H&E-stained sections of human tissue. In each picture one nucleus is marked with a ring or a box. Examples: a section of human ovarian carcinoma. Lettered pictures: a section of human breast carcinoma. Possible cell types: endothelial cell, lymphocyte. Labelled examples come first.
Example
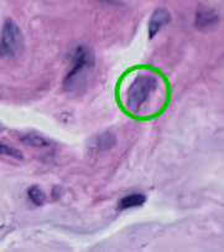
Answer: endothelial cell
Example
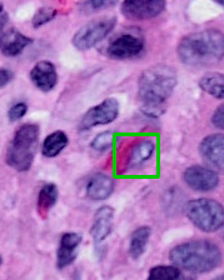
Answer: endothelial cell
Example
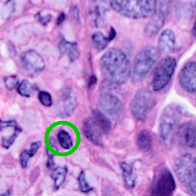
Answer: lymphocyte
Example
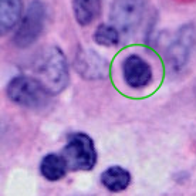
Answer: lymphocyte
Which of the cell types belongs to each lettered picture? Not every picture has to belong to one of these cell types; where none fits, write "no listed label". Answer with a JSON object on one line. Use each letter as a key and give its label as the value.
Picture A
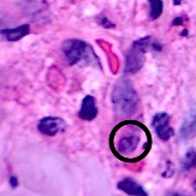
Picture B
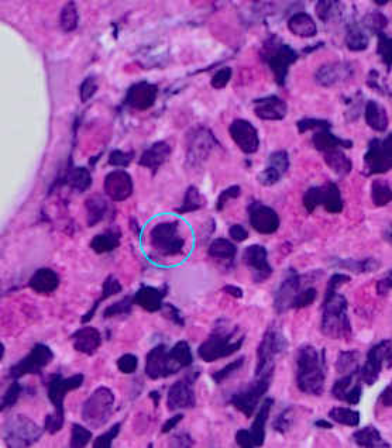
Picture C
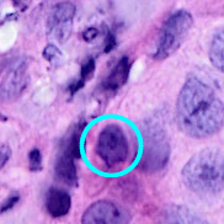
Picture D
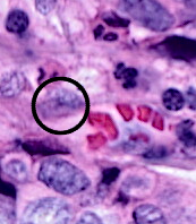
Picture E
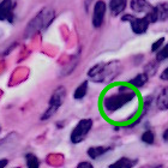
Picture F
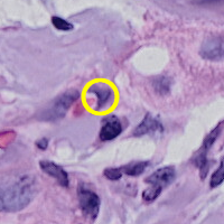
{"A": "endothelial cell", "B": "no listed label", "C": "no listed label", "D": "endothelial cell", "E": "lymphocyte", "F": "endothelial cell"}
